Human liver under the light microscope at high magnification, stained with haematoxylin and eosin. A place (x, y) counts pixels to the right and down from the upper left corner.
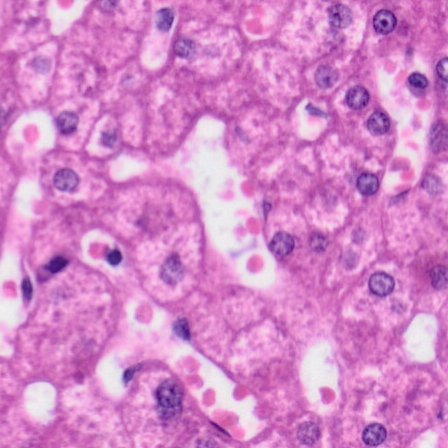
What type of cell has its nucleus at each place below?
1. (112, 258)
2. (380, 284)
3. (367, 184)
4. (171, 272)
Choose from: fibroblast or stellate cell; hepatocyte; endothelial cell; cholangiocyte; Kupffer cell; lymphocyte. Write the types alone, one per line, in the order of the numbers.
lymphocyte
hepatocyte
hepatocyte
hepatocyte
